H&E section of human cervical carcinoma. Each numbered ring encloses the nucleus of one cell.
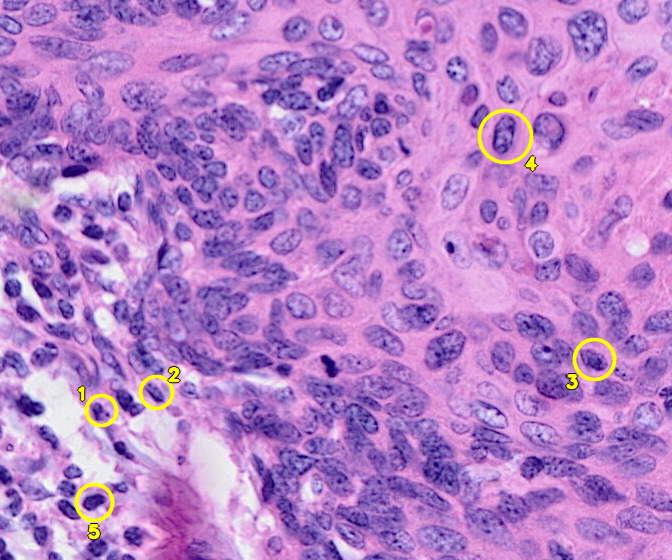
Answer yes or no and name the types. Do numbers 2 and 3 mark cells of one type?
No, cell 2 here is a lymphocyte and cell 3 here is a squamous carcinoma cell.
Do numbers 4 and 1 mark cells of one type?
No, whereas cell 1 is a lymphocyte, cell 4 is a squamous carcinoma cell.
